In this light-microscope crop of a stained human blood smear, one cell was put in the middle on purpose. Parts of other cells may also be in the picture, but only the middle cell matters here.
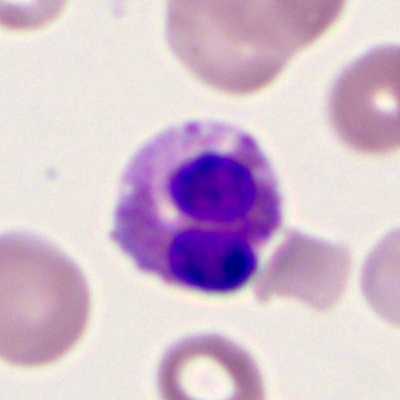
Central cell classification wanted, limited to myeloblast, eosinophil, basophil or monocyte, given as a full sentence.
For this crop, the central cell is an eosinophil.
